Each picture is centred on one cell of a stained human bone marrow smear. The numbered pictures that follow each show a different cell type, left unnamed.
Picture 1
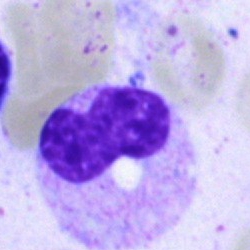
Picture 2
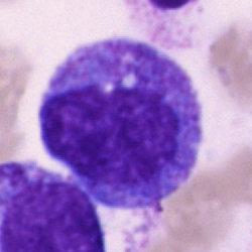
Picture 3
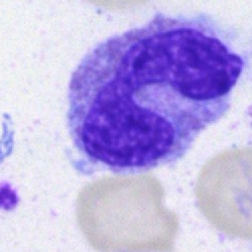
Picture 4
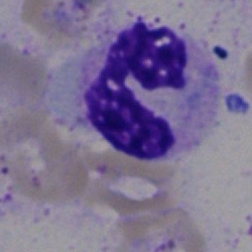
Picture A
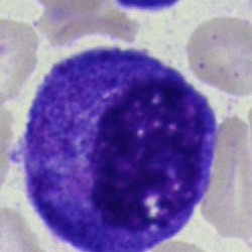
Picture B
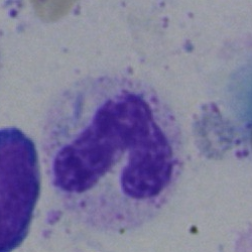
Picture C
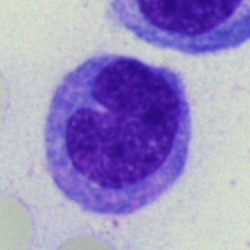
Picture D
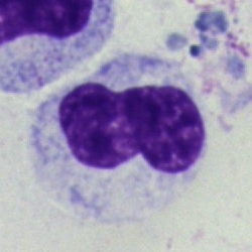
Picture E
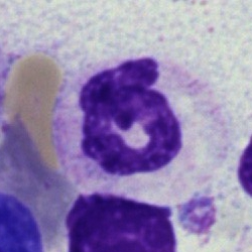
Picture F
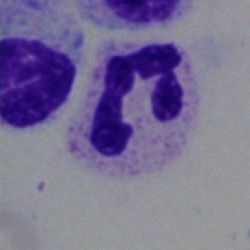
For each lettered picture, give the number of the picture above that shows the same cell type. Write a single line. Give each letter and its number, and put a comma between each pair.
A 2, B 1, C 3, D 1, E 4, F 4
